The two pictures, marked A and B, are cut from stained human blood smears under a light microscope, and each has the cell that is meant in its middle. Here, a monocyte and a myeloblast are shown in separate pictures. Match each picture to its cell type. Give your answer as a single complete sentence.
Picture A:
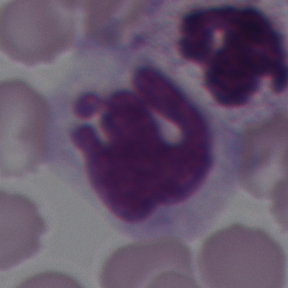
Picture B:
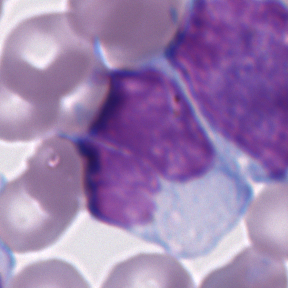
In picture A the cell is a monocyte; in picture B, a myeloblast.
